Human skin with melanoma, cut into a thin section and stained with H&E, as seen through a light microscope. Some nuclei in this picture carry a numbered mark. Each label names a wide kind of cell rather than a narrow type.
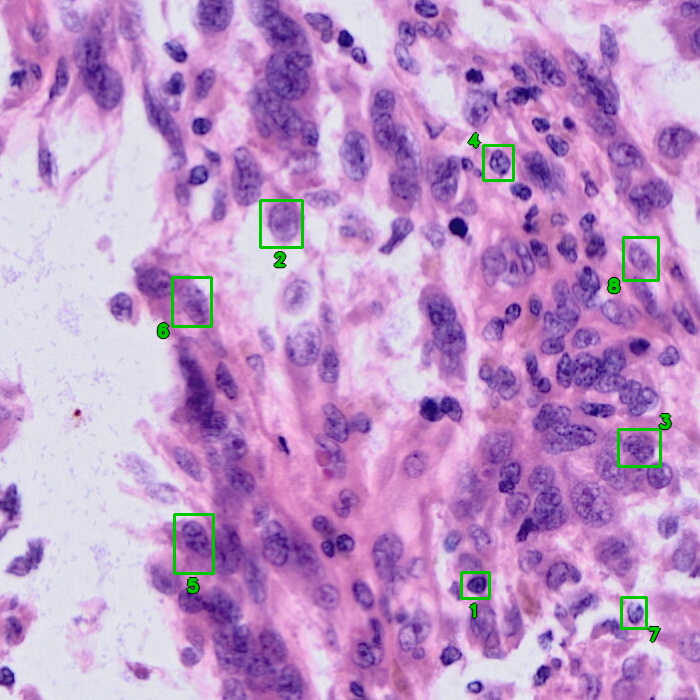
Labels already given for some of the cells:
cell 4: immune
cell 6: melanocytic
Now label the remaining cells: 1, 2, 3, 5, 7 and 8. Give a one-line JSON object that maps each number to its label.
{"1": "immune", "2": "melanocytic", "3": "melanocytic", "5": "melanocytic", "7": "immune", "8": "melanocytic"}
